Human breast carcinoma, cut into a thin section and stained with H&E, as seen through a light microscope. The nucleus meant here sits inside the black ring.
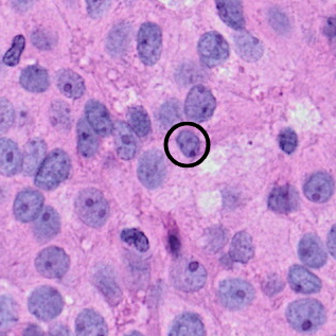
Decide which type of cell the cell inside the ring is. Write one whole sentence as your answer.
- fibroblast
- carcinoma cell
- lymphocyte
Within this tissue, the cell inside the ring is a carcinoma cell.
